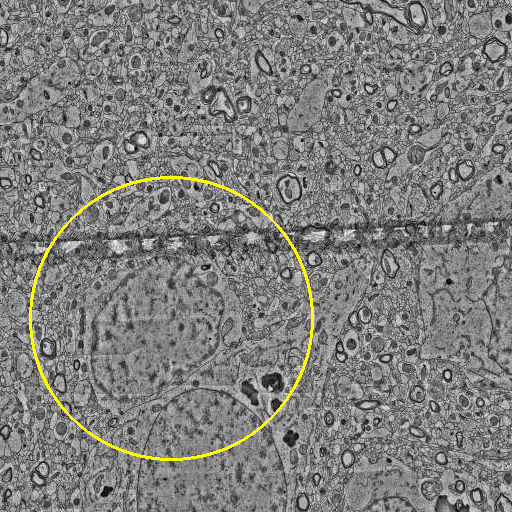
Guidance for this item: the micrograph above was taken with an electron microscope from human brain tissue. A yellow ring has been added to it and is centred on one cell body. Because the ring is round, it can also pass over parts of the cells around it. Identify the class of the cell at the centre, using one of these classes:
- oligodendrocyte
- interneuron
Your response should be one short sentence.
The ring surrounds the body of an interneuron.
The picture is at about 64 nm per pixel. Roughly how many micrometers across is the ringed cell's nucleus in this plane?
About 10 by 8 micrometers, in this plane.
